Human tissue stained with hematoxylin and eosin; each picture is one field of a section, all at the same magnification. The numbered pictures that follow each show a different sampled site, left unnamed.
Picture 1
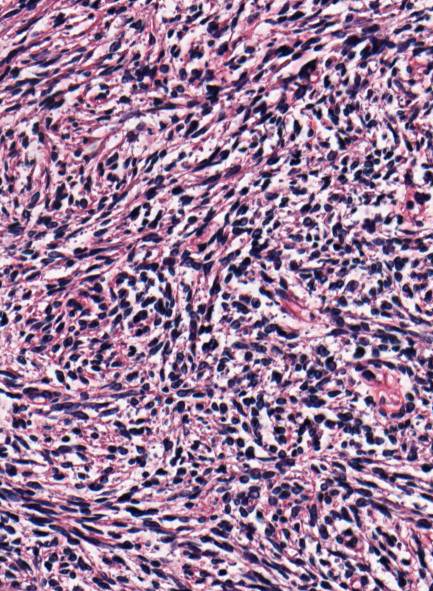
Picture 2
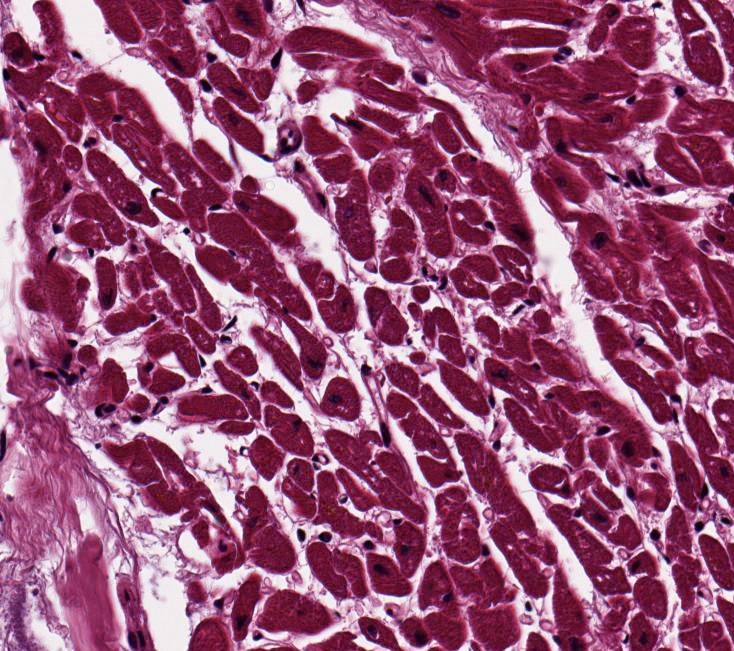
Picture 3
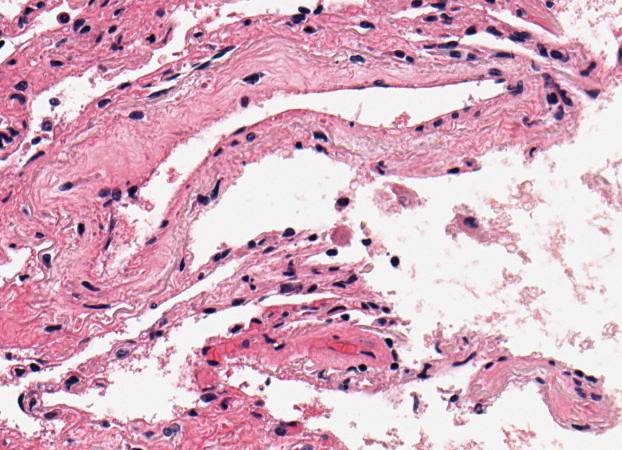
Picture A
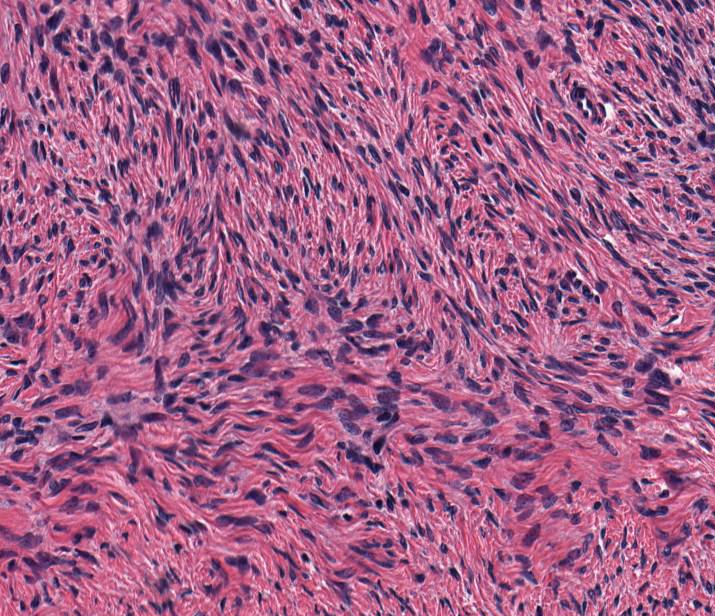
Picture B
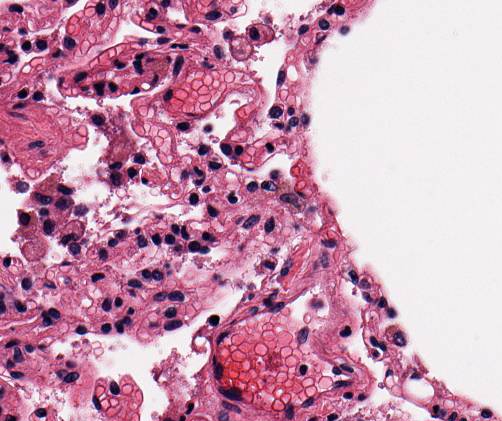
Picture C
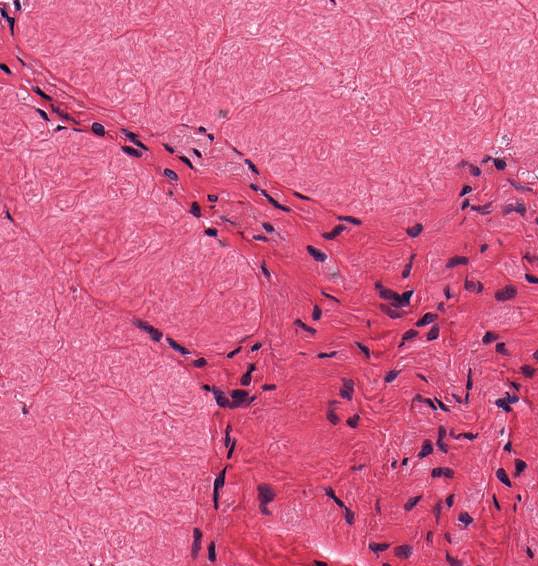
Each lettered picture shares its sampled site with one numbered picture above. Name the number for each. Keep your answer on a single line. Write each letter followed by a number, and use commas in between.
A 1, B 3, C 1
